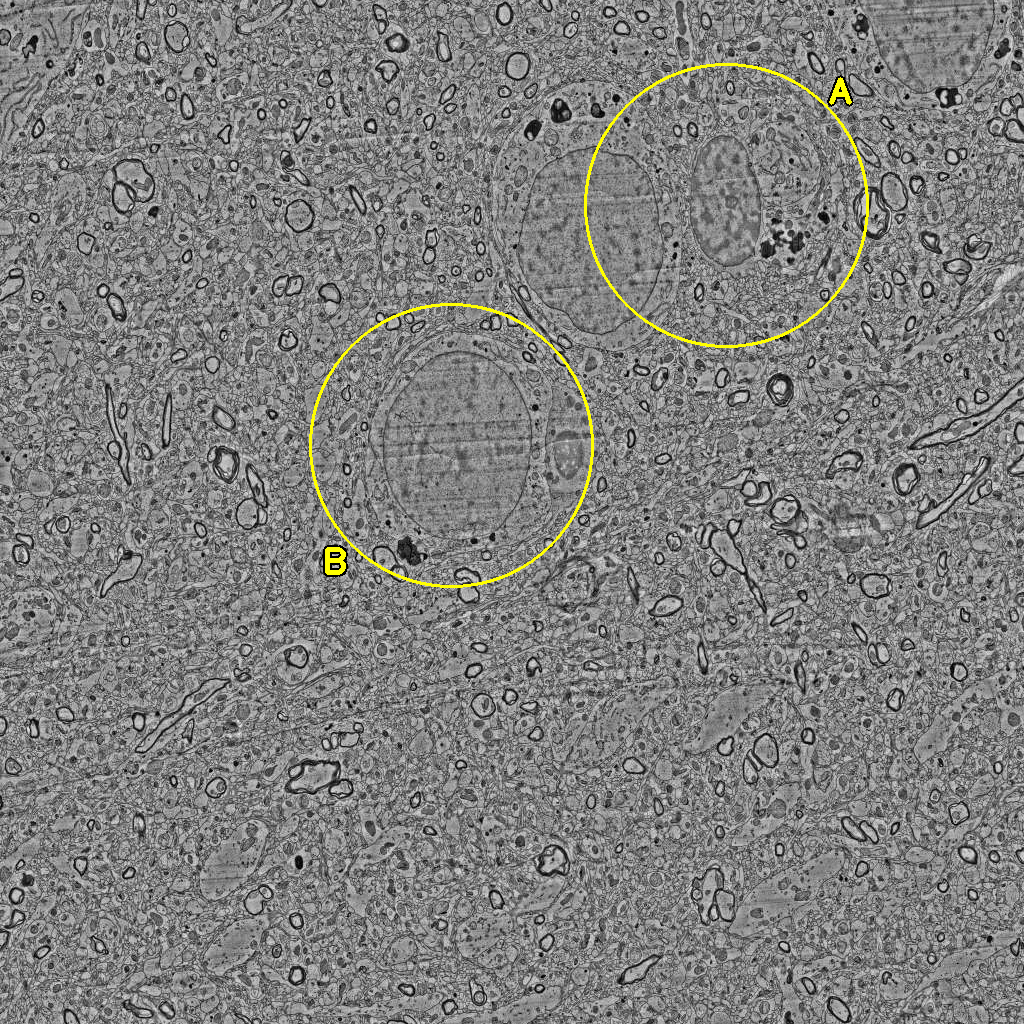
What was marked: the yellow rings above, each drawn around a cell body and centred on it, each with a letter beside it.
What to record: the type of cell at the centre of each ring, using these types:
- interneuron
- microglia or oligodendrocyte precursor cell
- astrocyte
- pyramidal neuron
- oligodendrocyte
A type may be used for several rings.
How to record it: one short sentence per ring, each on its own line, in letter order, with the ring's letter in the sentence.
Centred in ring A is an oligodendrocyte.
Centred in ring B is a pyramidal neuron.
